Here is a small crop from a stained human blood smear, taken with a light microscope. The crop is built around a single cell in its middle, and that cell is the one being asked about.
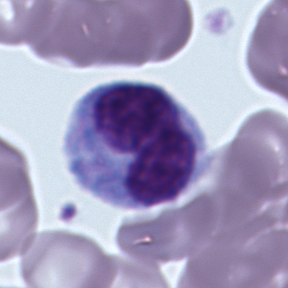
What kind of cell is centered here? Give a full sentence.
This crop has a monocyte at its centre.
